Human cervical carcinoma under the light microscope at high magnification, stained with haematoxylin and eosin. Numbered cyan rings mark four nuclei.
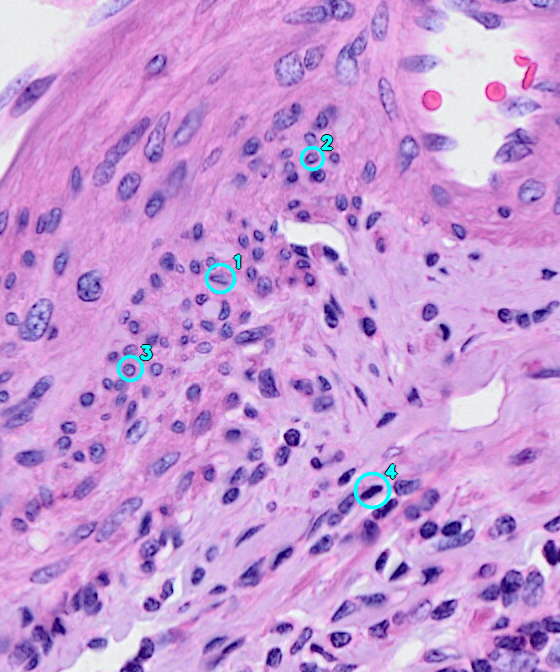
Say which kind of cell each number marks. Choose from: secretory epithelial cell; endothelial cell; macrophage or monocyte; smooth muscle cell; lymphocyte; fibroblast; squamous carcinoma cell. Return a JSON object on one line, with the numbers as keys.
{"1": "smooth muscle cell", "2": "smooth muscle cell", "3": "smooth muscle cell", "4": "lymphocyte"}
